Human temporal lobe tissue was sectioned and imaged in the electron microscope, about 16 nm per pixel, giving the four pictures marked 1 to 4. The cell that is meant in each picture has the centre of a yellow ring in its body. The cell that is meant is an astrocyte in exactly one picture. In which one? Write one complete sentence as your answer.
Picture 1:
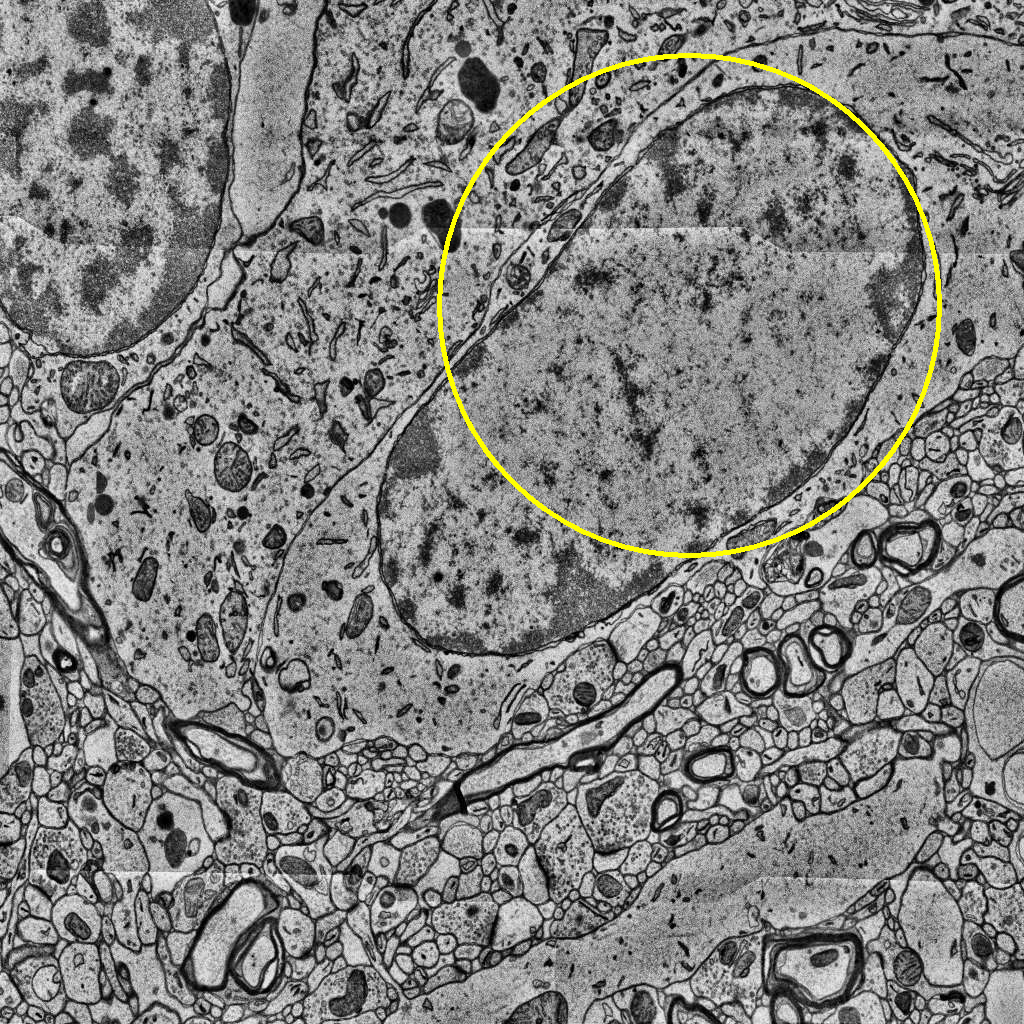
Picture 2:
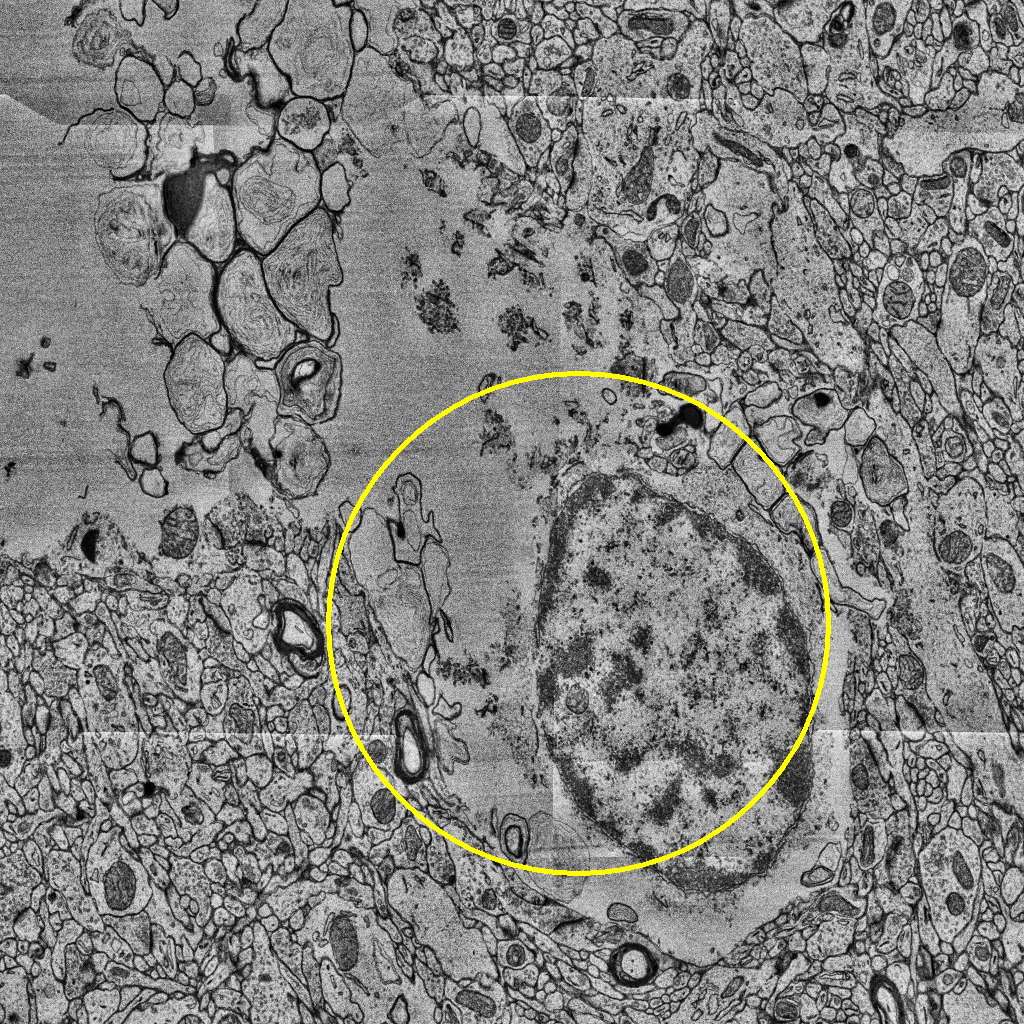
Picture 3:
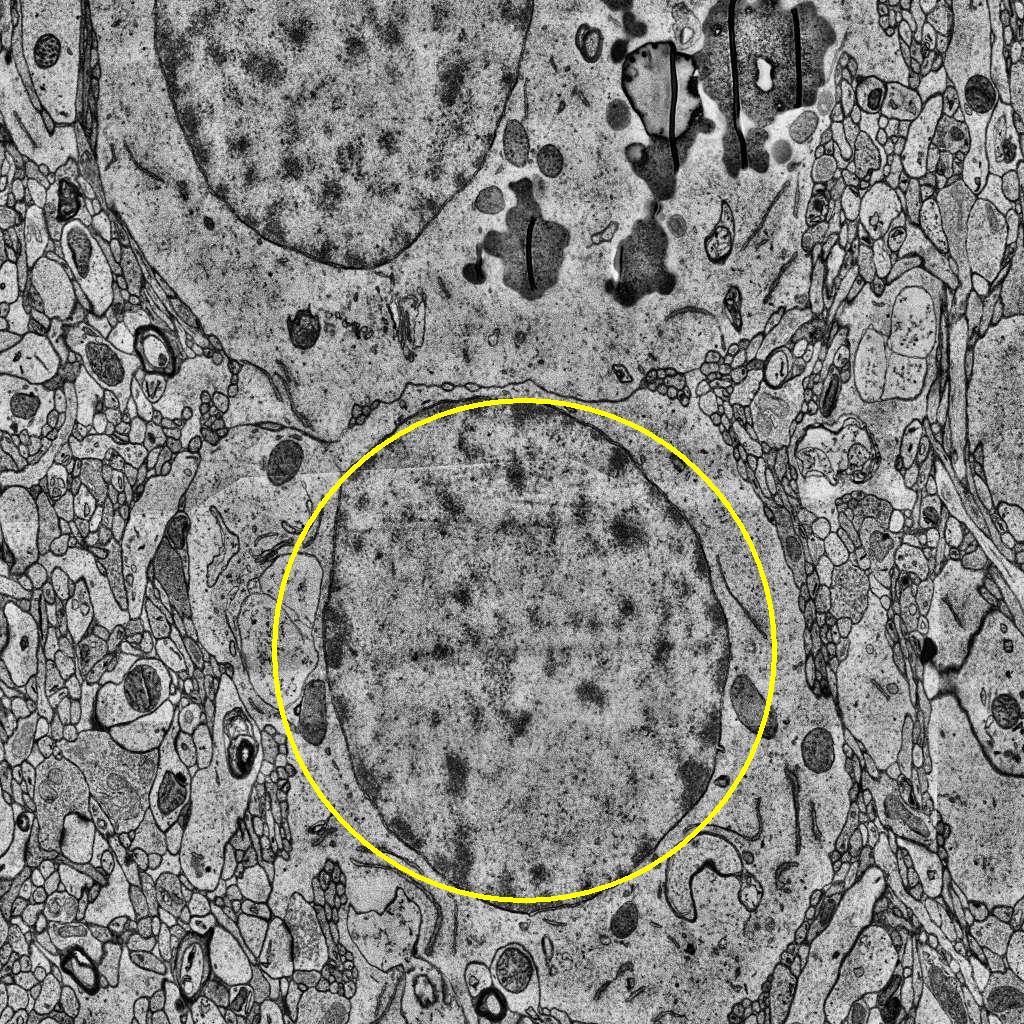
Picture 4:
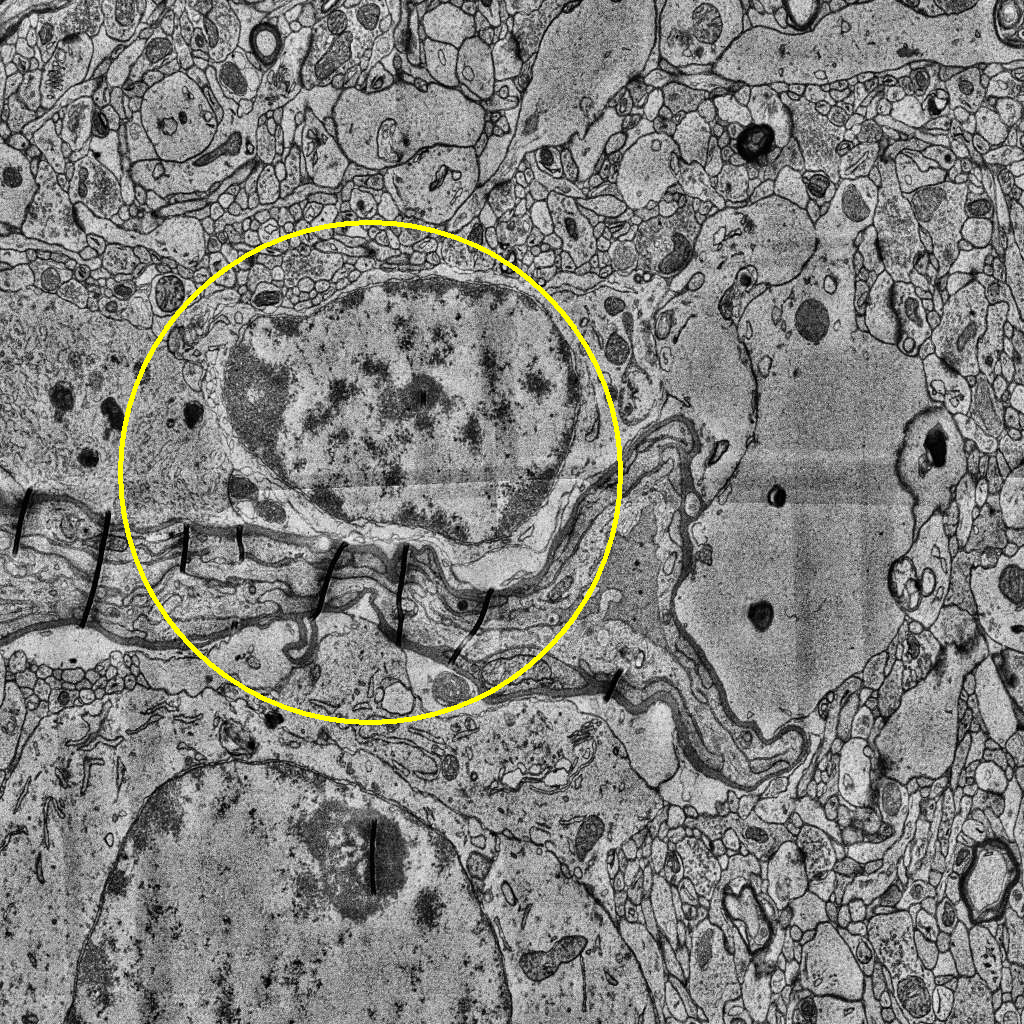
The cell in picture 3 is the astrocyte.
